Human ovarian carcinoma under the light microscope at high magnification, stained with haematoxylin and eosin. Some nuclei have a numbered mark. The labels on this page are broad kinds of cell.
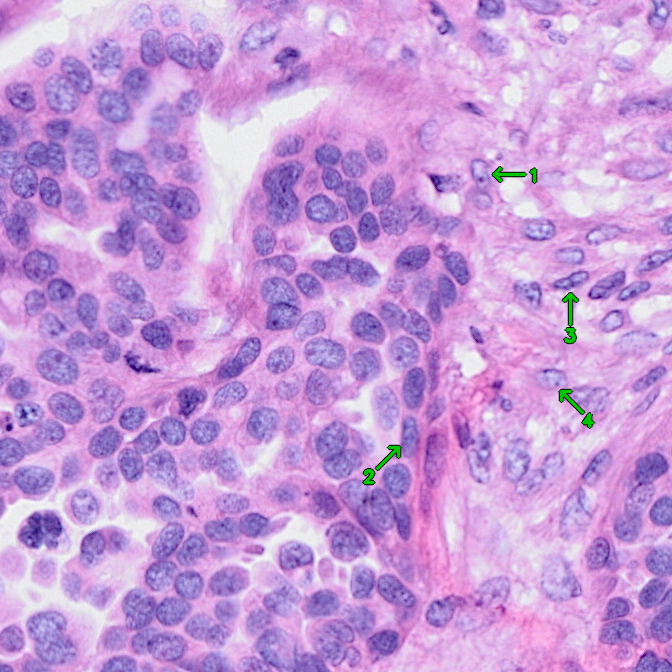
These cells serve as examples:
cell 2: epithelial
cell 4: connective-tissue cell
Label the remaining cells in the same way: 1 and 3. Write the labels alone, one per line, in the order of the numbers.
connective-tissue cell
connective-tissue cell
